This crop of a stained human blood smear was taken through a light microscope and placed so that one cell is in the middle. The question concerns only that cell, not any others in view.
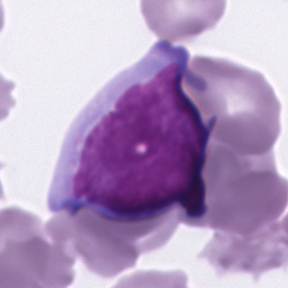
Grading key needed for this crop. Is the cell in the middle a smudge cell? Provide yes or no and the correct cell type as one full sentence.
No, the middle cell is classified as a myeloblast instead of a smudge cell.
